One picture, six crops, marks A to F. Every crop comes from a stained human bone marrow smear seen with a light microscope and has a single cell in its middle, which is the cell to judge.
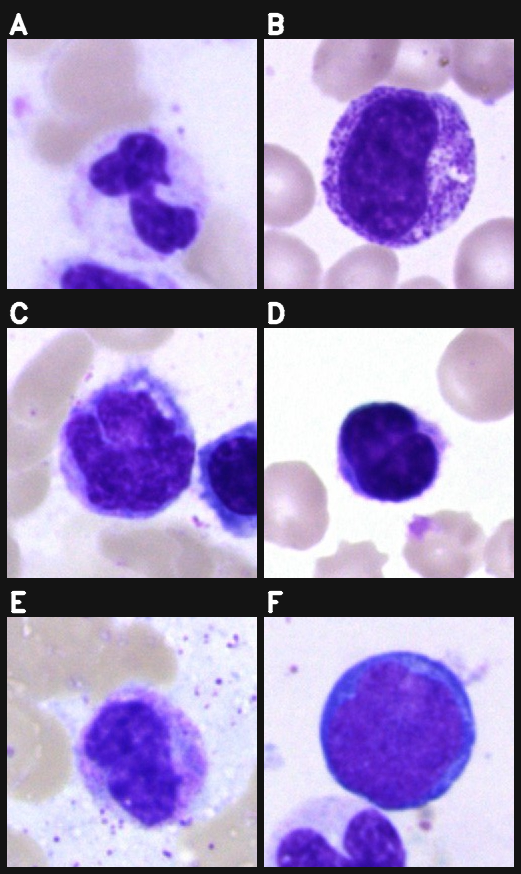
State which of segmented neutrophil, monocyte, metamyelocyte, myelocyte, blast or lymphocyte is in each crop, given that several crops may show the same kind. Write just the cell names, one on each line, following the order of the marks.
segmented neutrophil
myelocyte
monocyte
lymphocyte
metamyelocyte
blast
